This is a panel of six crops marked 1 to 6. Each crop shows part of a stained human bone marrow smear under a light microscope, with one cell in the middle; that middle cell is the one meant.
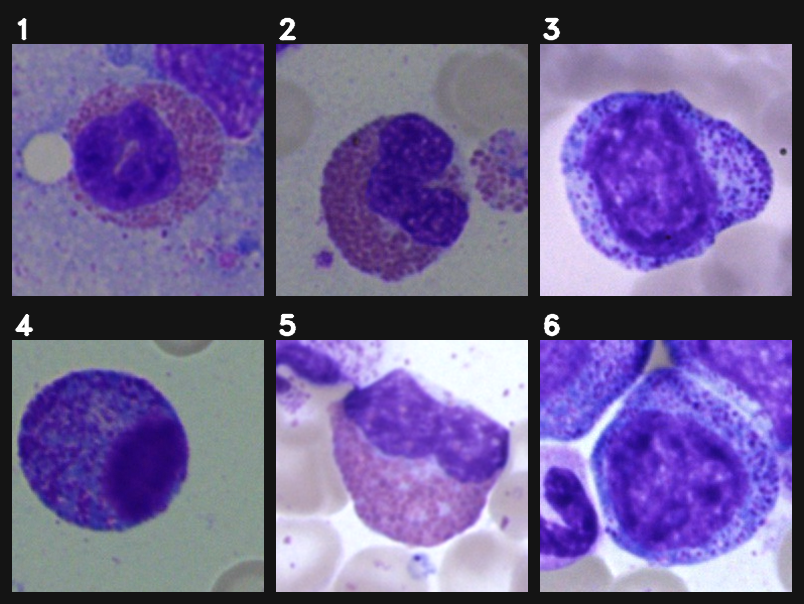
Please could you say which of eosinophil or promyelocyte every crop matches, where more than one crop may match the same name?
1: eosinophil
2: eosinophil
3: promyelocyte
4: promyelocyte
5: eosinophil
6: promyelocyte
